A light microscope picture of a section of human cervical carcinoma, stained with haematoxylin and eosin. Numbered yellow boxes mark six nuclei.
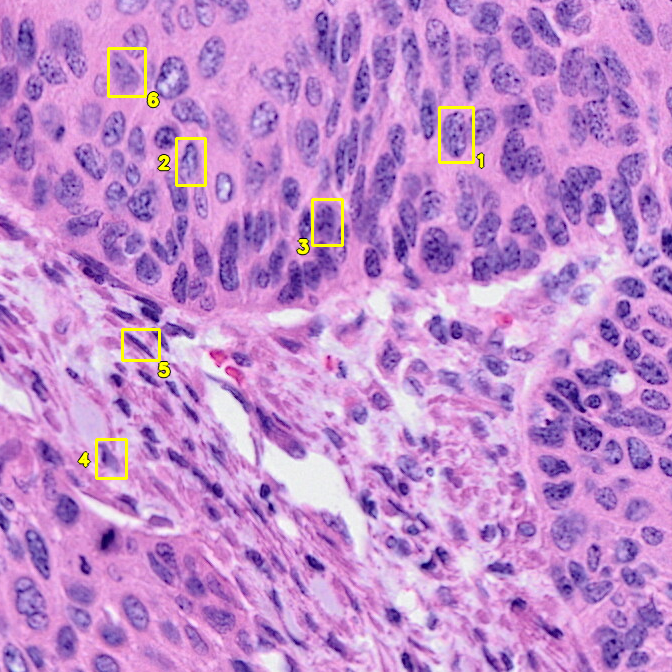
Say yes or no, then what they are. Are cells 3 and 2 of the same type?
Yes, both are squamous carcinoma cells.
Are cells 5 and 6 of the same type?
No, cell 5 is a fibroblast and cell 6 is a squamous carcinoma cell.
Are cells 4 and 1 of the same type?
No, cell 4 is a fibroblast and cell 1 is a squamous carcinoma cell.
